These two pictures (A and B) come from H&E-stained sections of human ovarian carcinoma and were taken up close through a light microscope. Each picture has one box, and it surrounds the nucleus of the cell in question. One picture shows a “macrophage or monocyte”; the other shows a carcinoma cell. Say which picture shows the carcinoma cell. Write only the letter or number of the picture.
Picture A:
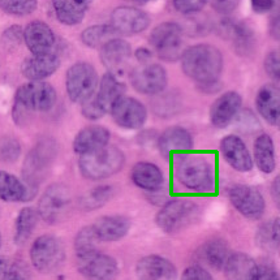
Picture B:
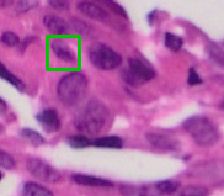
A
